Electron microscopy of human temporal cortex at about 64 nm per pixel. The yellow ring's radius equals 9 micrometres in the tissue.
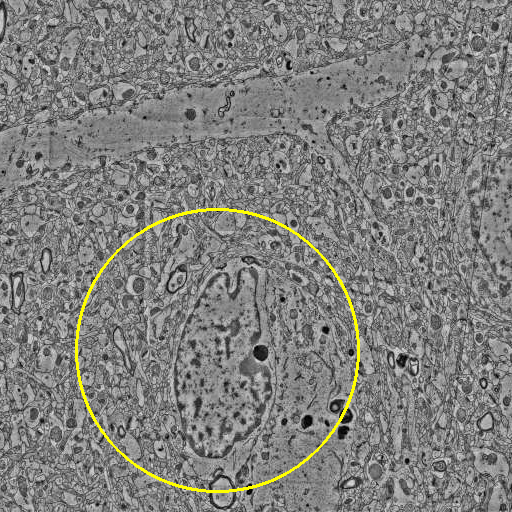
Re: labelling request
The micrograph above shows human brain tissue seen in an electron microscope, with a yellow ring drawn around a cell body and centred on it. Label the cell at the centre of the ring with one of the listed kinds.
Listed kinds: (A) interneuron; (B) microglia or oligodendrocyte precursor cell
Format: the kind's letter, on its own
B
